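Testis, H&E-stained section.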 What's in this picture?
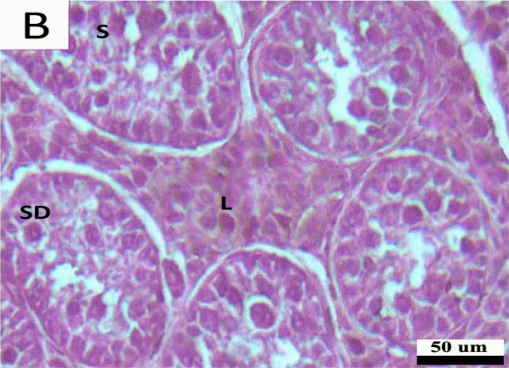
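Cross-sections of rounded seminiferous tubules fill the field, each bounded by a thin pink basement membrane and lined by several layers of germ cells with round purple nuclei. Cells near the membrane are smaller and closely packed; those toward the centre are rounder and looser, and small pale lumens open in the middle of several tubules. Between the tubules, in the angular interstitial space, lies a cluster of cells with more eosinophilic, slightly brownish pink cytoplasm and round nuclei, the interstitial Leydig cells.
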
